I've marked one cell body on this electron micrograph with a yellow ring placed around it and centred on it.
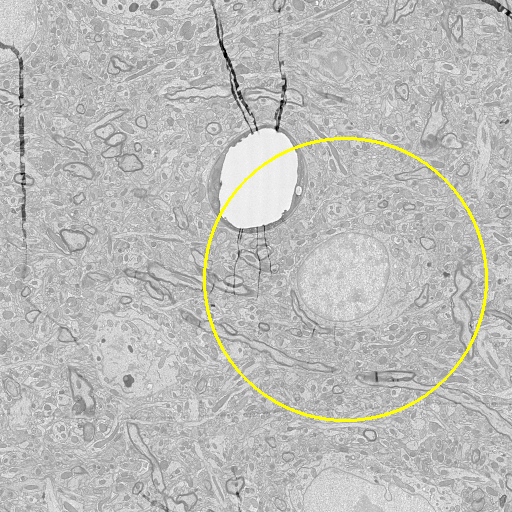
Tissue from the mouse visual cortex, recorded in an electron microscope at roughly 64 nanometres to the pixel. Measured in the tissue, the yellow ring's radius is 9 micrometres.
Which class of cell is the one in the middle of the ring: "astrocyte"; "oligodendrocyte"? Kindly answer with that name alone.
oligodendrocyte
